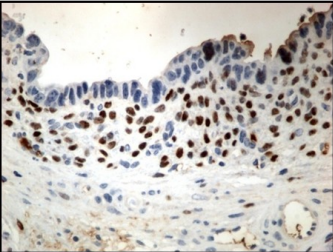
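This is the wall of a cystic lesion, with a lining of columnar epithelial cells along the top and a dense, cellular ovarian-like stroma underneath. The stromal cells are crowded with oval to spindle nuclei, many of them stained brown, while looser fibrous tissue with paler blue nuclei lies deeper down.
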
